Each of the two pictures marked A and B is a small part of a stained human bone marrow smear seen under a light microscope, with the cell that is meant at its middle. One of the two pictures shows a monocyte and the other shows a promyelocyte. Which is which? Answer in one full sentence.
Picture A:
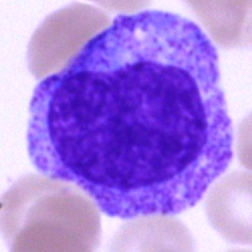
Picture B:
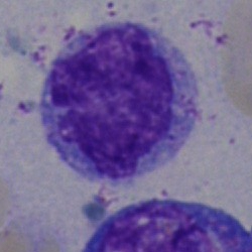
Picture B shows a monocyte, while picture A shows a promyelocyte.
